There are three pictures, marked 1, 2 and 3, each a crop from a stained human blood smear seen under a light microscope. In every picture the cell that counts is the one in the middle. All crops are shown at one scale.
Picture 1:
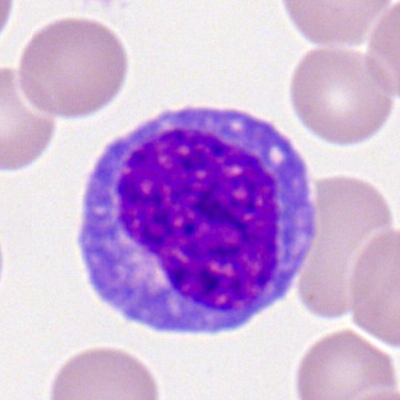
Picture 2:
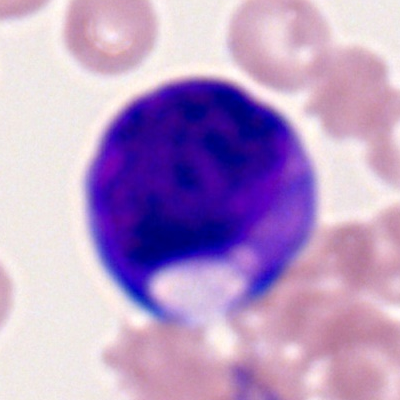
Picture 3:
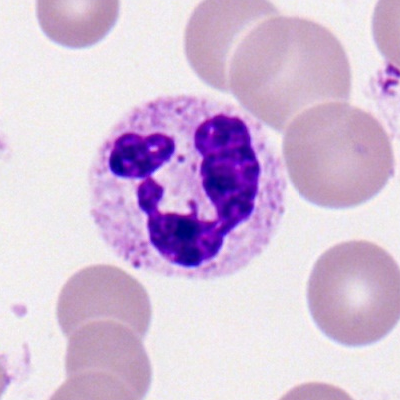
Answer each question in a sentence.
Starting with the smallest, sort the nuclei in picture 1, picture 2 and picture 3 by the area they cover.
Smallest first: 3, 1, 2.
